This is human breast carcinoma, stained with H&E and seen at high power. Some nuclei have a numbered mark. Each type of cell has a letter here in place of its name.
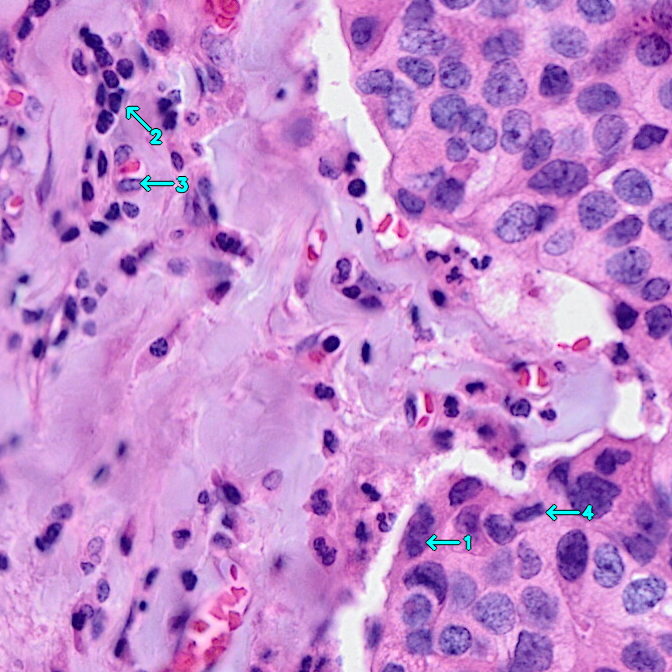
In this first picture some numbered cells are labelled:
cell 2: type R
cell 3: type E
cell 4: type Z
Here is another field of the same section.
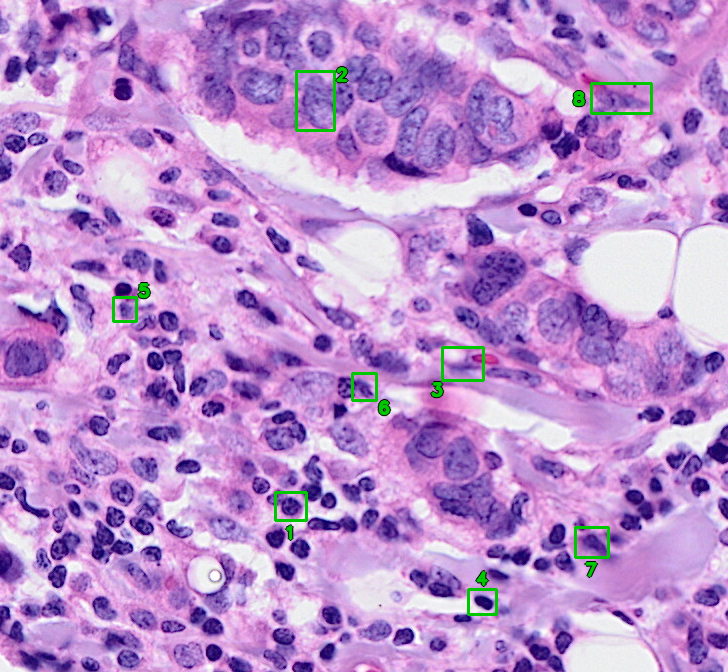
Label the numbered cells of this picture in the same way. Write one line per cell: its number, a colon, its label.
1: type R
2: type Z
3: type E
4: type R
5: type R
6: type R
7: type R
8: type E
